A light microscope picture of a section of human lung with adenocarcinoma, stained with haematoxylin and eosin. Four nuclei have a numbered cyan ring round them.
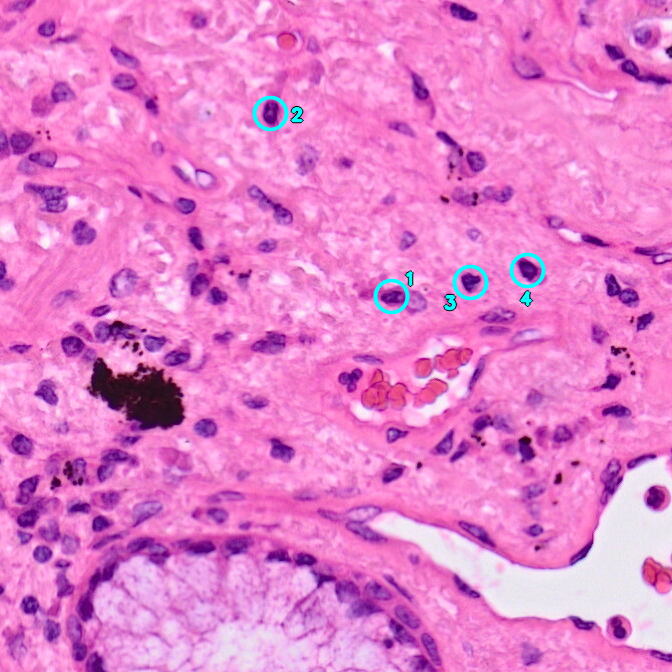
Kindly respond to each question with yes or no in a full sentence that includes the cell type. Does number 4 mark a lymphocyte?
No, cell 4 is not a lymphocyte; it is a plasma cell.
